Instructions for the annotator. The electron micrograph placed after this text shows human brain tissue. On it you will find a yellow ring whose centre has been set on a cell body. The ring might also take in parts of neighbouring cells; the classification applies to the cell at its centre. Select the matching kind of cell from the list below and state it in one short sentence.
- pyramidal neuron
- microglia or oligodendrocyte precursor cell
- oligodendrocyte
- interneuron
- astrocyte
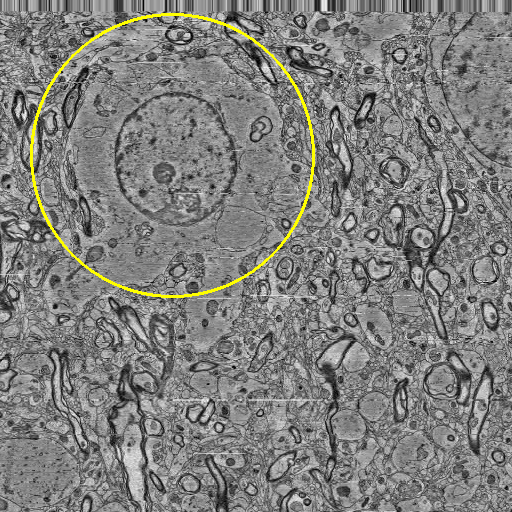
The ring is drawn on the cell body of an astrocyte.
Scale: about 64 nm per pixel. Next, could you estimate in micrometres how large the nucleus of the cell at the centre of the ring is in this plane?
About 9 by 8 micrometers, in this plane.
